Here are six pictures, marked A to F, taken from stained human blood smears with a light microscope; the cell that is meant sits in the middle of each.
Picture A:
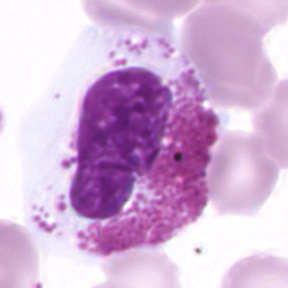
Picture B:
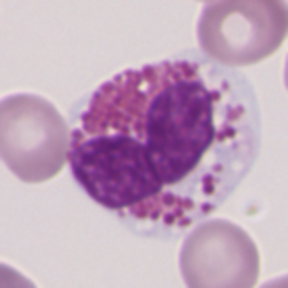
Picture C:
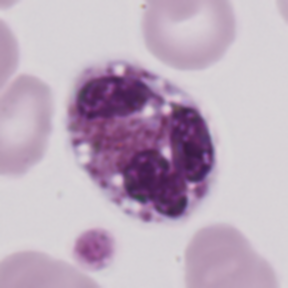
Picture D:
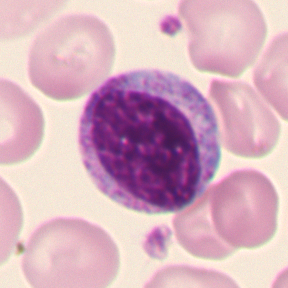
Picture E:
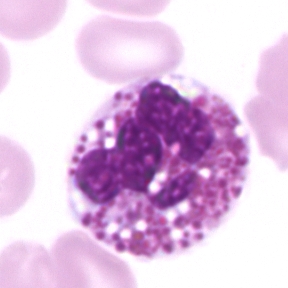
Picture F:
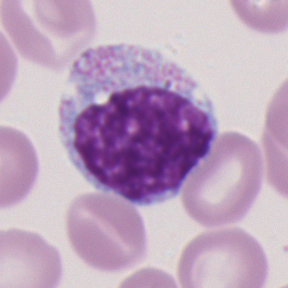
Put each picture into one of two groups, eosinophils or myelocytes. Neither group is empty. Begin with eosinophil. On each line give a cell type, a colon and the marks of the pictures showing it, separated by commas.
eosinophil: A, B, C, E
myelocyte: D, F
